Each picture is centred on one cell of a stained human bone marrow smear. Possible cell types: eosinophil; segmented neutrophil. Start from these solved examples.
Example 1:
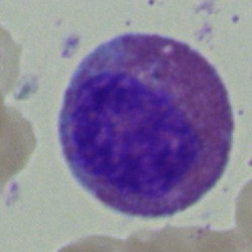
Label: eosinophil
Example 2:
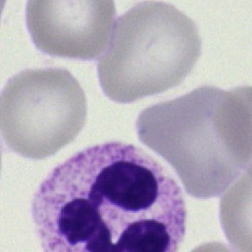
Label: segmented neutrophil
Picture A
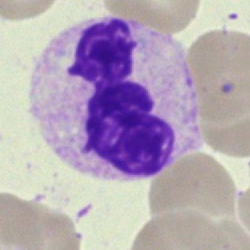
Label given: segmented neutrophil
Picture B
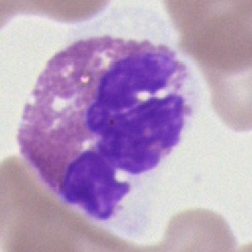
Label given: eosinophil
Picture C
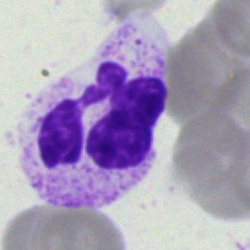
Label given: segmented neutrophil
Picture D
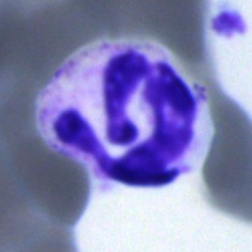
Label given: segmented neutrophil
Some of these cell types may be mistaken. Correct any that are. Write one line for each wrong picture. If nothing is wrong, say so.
Nothing to fix; every label fits.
